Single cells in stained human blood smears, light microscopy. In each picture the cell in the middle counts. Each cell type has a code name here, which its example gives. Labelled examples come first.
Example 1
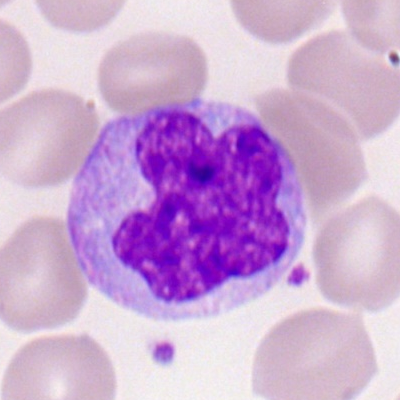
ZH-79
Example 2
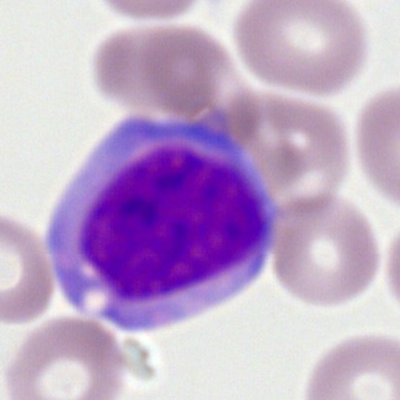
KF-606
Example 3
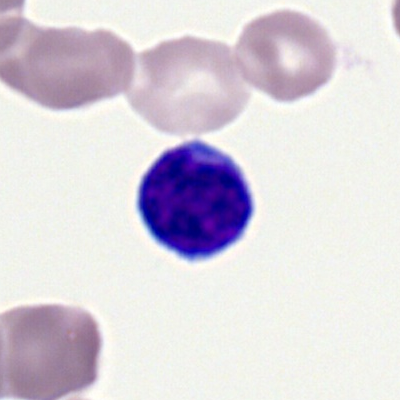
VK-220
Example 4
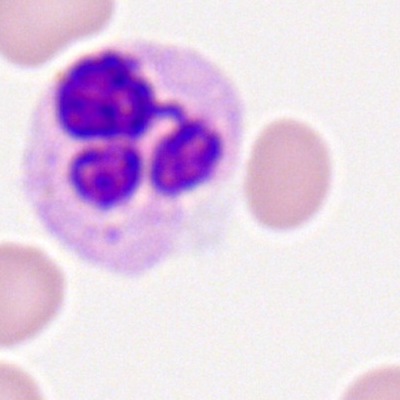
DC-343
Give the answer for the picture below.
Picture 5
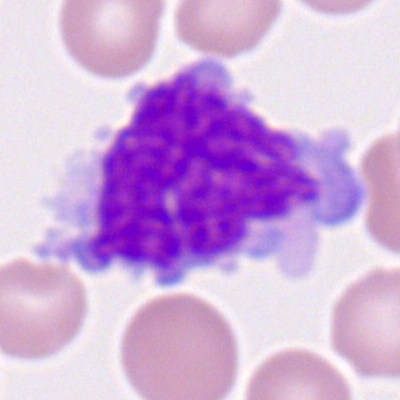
ZH-79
